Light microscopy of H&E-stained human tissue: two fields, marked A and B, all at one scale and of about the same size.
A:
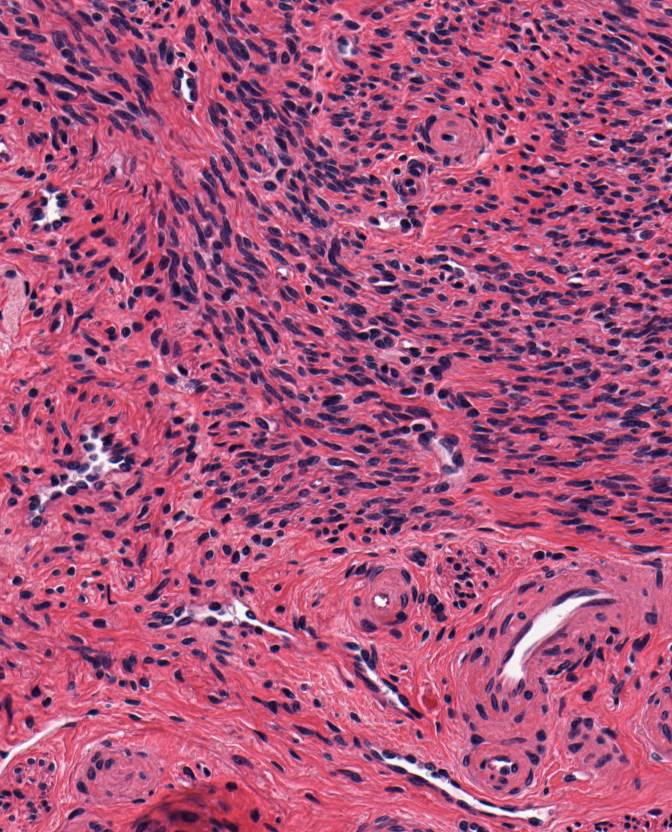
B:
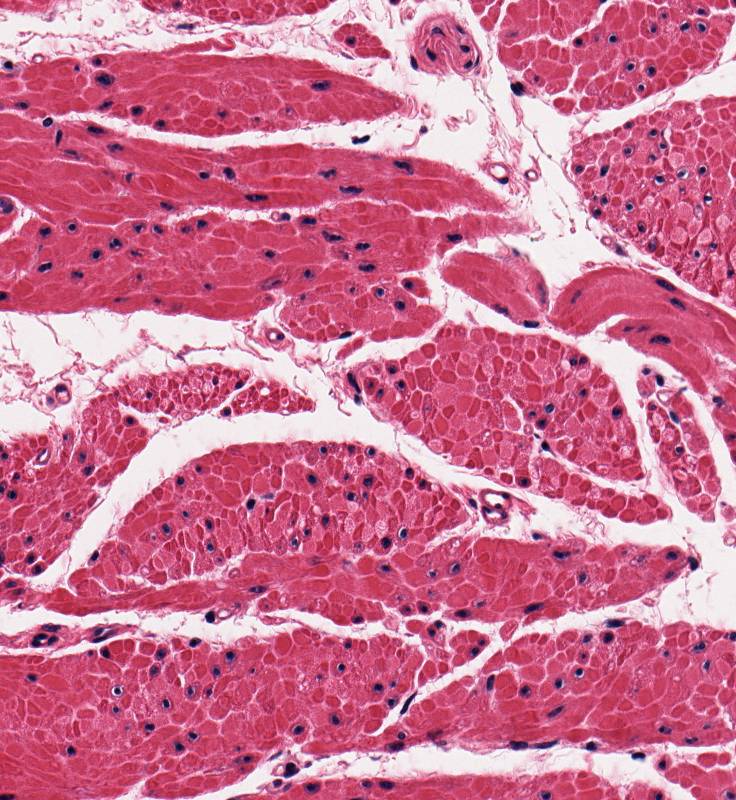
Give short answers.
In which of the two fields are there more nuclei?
A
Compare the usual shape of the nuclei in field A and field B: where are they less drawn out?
B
